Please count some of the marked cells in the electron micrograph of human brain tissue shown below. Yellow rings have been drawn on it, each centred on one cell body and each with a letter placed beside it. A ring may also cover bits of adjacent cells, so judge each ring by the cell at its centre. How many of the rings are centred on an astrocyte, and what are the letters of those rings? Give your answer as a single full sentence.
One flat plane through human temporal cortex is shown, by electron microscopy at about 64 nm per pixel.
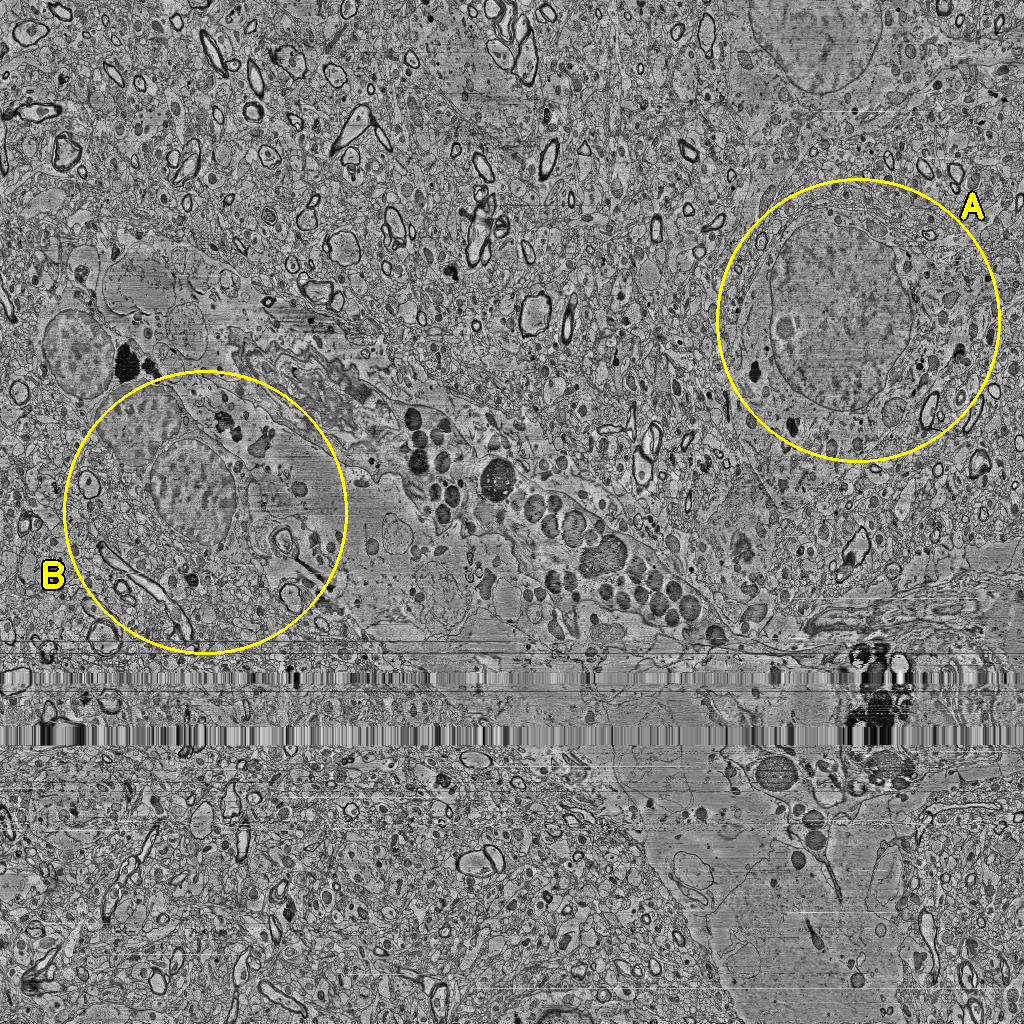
Across the lettered rings, not one is centred on an astrocyte, so zero is the count.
